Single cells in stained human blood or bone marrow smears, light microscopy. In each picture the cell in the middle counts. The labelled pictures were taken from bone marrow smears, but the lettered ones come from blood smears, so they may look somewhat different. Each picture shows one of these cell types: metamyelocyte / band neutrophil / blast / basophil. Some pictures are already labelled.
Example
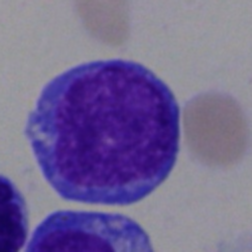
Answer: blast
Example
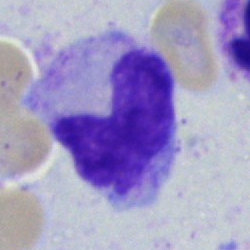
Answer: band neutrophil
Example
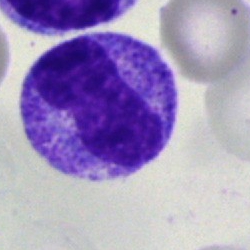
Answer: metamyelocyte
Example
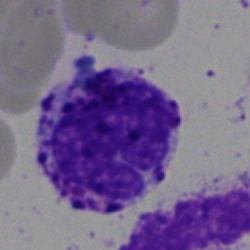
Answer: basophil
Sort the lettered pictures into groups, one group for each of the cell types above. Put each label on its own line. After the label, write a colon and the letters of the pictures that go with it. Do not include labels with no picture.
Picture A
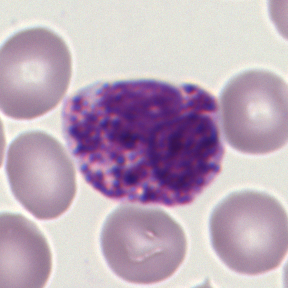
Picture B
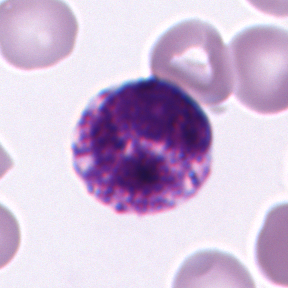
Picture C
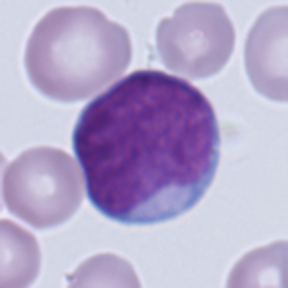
blast: C
basophil: A, B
